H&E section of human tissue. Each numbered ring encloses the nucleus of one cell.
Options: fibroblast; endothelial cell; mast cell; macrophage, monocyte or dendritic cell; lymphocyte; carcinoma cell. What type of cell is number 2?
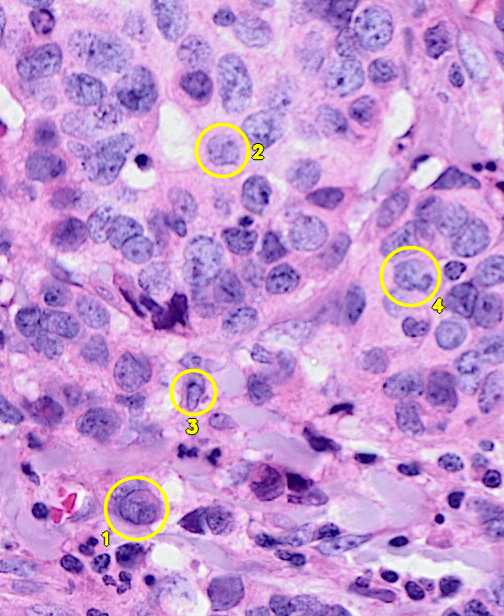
carcinoma cell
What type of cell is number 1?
carcinoma cell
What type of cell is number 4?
carcinoma cell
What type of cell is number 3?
macrophage, monocyte or dendritic cell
